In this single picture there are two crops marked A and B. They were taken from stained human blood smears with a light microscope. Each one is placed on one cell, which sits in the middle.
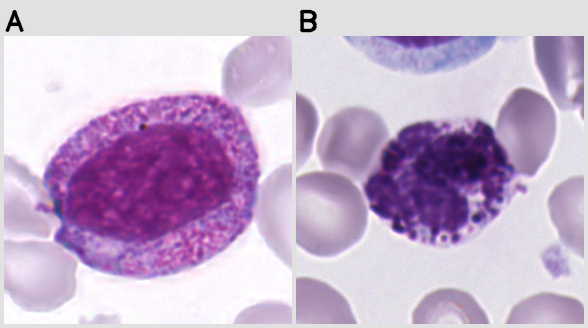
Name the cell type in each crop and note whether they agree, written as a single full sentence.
No, crop B centres on a basophil, and crop A centres on a promyelocyte.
